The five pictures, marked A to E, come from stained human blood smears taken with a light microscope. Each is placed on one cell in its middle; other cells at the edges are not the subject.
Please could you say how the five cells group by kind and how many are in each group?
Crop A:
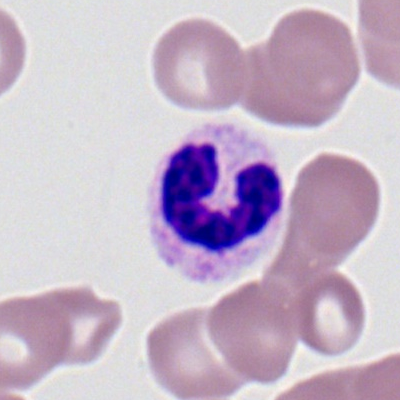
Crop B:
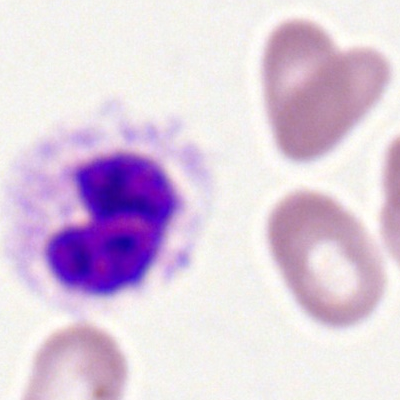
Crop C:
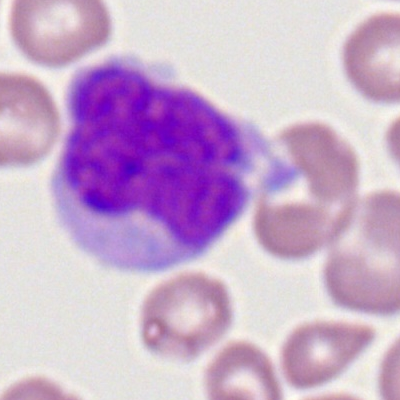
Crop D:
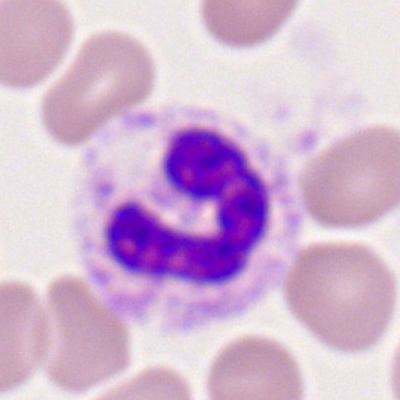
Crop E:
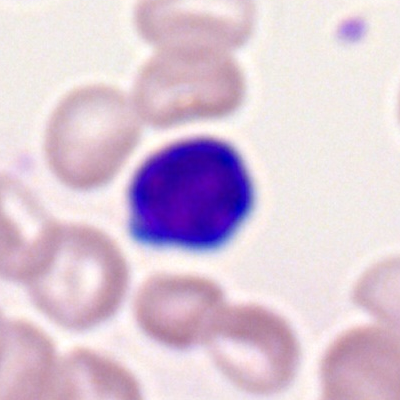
band neutrophil: 2
segmented neutrophil: 1
monocyte: 1
lymphocyte: 1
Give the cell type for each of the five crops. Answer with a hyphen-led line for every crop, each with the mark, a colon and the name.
- A: band neutrophil
- B: segmented neutrophil
- C: monocyte
- D: band neutrophil
- E: lymphocyte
